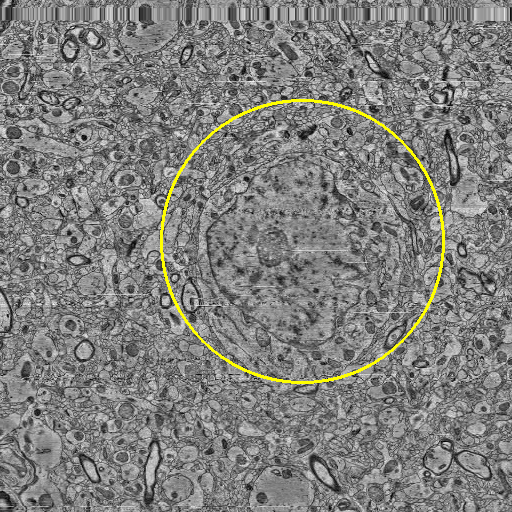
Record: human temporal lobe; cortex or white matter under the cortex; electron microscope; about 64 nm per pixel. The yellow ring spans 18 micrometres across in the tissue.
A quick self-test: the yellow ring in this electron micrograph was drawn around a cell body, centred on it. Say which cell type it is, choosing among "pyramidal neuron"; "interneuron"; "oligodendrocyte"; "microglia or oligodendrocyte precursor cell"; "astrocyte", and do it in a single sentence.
The yellow-ringed cell is an interneuron.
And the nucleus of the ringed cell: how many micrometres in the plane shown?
In this plane, the nucleus of the cell at the centre of the ring is about 11 micrometres across.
